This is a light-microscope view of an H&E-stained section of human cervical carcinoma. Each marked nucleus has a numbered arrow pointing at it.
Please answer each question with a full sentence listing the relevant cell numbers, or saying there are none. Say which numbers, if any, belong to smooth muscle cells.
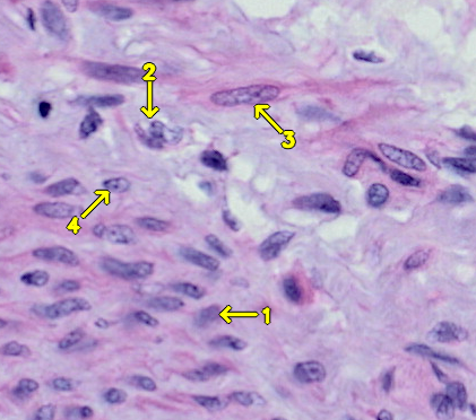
The cells labelled 1, 3 and 4 in this section are smooth muscle cells.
